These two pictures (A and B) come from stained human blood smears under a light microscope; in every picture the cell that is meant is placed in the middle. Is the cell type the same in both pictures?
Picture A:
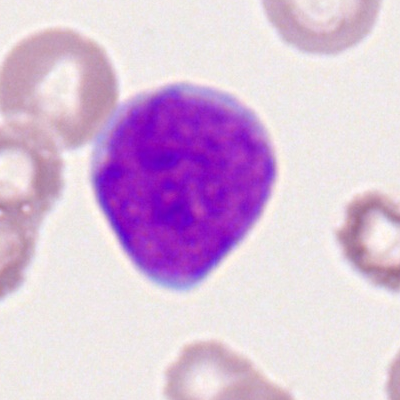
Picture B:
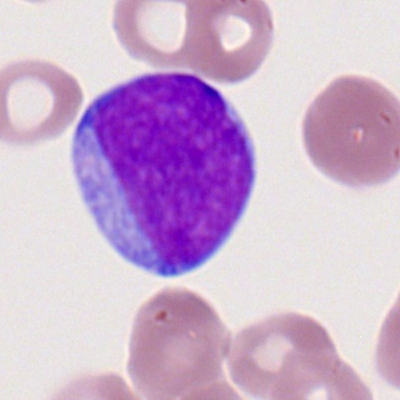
yes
